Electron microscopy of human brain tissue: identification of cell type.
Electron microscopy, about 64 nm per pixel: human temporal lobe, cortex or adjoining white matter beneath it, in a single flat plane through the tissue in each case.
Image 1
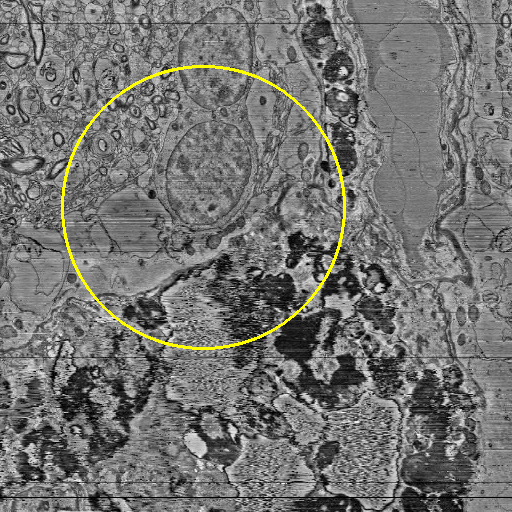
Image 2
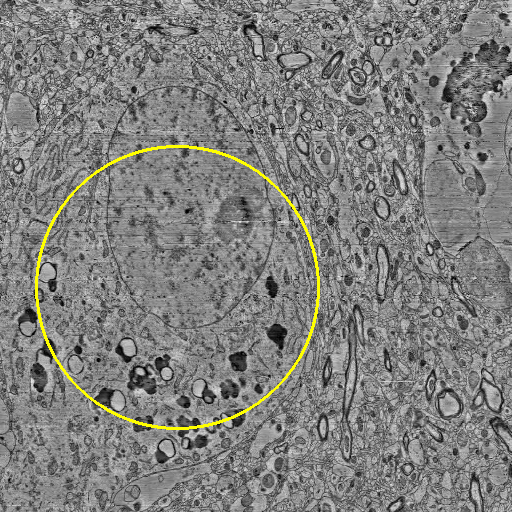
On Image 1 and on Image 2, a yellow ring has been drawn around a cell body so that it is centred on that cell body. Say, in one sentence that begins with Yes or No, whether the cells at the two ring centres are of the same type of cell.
No, the two cells are two separate types of cell.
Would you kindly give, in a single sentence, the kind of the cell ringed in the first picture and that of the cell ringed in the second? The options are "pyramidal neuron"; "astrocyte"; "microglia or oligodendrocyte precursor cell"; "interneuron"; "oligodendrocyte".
The second cell is a pyramidal neuron, and the first cell is an oligodendrocyte.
